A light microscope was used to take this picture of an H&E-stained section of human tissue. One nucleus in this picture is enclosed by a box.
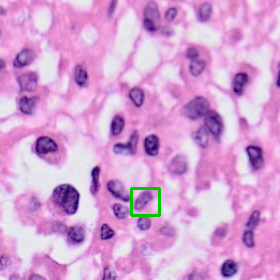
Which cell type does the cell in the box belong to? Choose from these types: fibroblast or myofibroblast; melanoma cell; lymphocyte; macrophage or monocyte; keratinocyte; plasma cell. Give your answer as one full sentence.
In this tissue section, the cell in the box is to be classed as a macrophage or monocyte.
